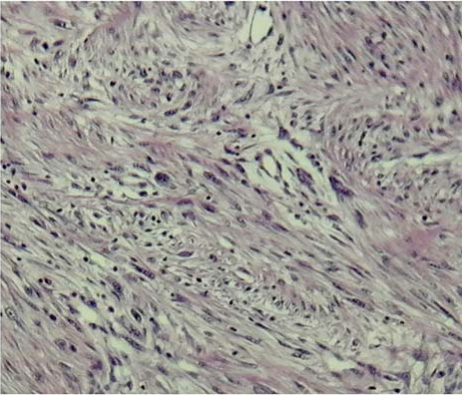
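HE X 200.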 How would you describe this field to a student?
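Spindle cells fill the field, arranged in bundles that run in different directions and interlace with one another. The cells are long and slender with elongated, dark-staining nuclei set in pale pink fibrillar cytoplasm, with small clear spaces between some bundles.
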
